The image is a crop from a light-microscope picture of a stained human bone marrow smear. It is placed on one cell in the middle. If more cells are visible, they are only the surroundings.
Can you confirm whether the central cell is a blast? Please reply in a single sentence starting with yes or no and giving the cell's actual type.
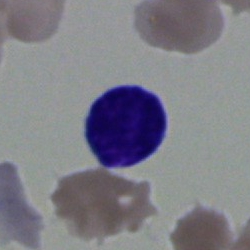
No, the central cell isn't a blast, but a lymphocyte.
